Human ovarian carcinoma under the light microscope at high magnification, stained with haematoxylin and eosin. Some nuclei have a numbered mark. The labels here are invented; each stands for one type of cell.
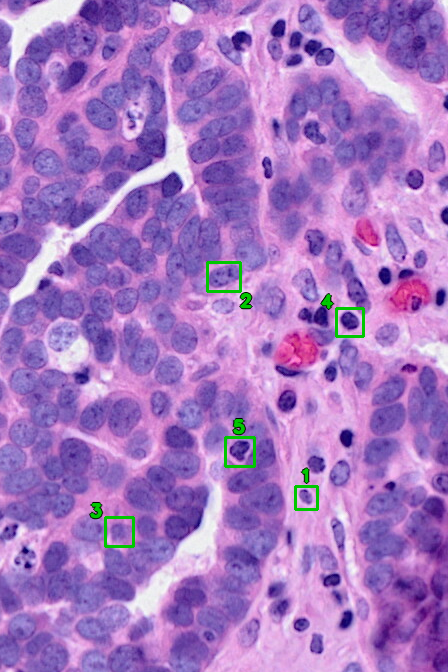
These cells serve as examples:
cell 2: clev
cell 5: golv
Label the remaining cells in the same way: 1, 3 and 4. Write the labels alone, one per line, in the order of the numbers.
golv
clev
golv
